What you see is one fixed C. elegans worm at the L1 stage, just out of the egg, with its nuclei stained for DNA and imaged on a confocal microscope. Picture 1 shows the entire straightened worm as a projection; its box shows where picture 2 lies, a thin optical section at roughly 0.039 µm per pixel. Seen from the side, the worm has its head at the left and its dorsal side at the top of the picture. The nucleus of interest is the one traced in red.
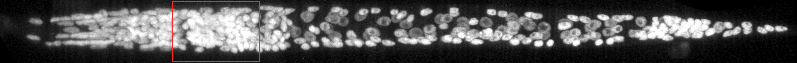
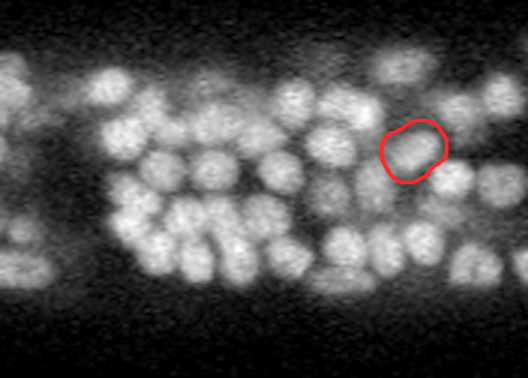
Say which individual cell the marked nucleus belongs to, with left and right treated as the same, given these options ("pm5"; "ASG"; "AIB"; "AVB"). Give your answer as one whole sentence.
The marked cell is pm5, a pharyngeal muscle cell.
